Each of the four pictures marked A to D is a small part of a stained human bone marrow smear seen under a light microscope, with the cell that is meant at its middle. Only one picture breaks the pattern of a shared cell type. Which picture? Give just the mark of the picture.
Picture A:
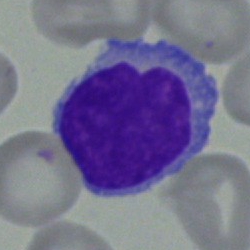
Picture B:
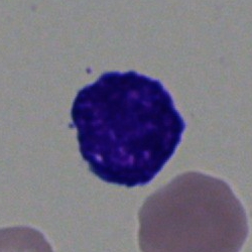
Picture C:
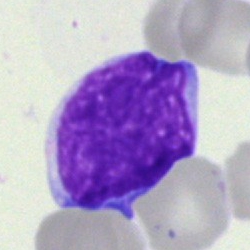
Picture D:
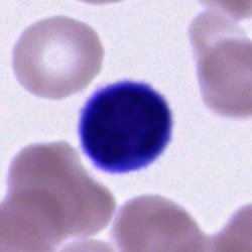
D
